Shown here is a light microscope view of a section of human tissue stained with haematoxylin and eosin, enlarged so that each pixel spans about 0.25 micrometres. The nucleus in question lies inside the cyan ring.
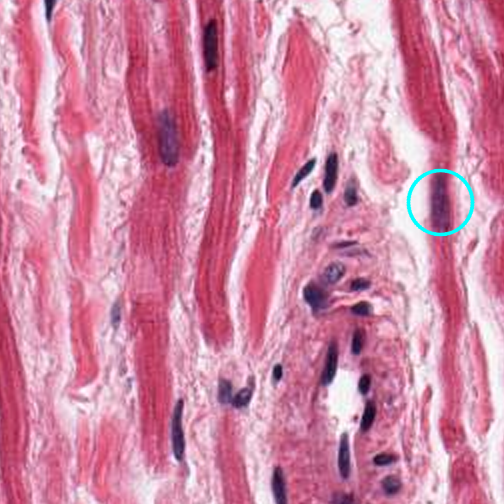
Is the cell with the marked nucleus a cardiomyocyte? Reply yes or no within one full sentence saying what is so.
Yes, the marked nucleus is assigned to a cardiomyocyte.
